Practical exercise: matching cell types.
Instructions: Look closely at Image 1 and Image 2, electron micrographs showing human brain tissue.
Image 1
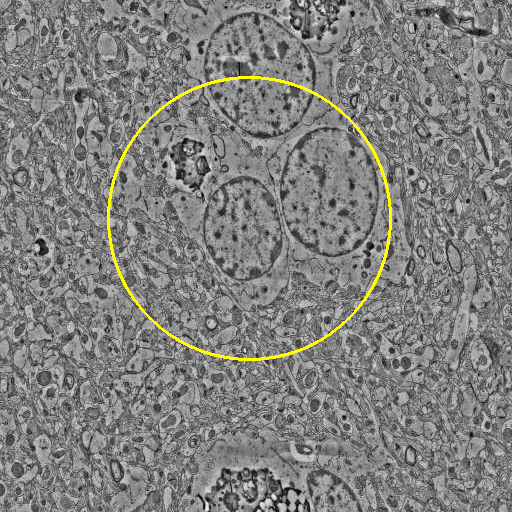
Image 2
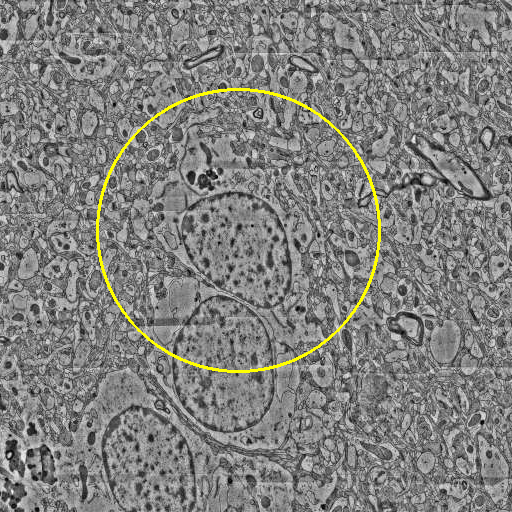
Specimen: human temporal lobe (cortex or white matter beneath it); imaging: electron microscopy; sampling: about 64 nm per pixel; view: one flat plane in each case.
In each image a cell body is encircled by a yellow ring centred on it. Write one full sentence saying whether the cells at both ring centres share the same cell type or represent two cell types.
Across Image 1 and Image 2, the cells at the ring centres share the same cell type.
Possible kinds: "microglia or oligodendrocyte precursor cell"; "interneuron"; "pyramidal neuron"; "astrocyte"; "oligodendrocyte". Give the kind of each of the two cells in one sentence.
Both cells are the same kind, each one being an astrocyte.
